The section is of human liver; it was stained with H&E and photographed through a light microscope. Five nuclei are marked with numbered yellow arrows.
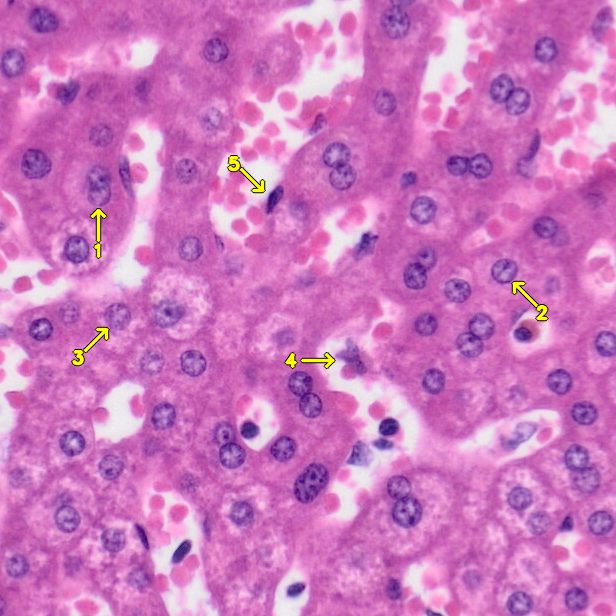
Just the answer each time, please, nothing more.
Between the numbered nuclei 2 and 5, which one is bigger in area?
2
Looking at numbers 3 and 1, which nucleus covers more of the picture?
1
